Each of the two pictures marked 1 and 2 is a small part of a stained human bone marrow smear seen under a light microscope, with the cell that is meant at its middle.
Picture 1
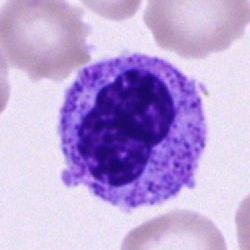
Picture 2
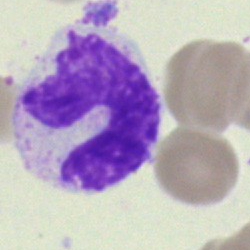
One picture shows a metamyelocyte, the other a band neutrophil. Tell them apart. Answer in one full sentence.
It is picture 1 that shows a metamyelocyte, and picture 2 that shows a band neutrophil.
